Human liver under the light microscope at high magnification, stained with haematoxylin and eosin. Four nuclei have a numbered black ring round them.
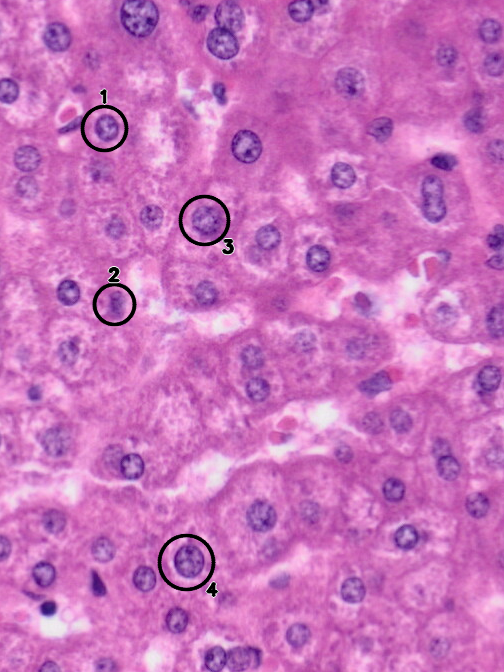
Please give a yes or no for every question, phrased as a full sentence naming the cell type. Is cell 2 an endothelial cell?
Yes, the cell denoted by 2 is an endothelial cell.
